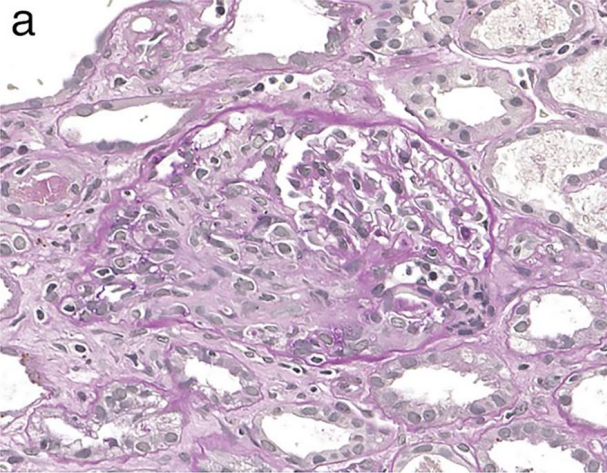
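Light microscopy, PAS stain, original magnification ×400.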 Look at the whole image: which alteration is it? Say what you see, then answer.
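A crescent-shaped mass of cells and pale fibrous matrix fills much of Bowman's space on the left of the glomerulus. The glomerular tuft is compressed toward the right side of the capsule. A magenta capsule outline surrounds both the tuft and the crescent.
Conclusion: fibro-cellular crescents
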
